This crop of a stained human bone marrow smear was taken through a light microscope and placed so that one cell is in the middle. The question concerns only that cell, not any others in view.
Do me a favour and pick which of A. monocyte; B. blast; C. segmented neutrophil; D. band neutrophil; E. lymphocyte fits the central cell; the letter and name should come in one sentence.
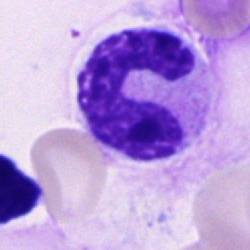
In this crop the central cell is a band neutrophil, which option D correctly states.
